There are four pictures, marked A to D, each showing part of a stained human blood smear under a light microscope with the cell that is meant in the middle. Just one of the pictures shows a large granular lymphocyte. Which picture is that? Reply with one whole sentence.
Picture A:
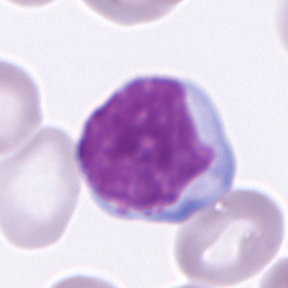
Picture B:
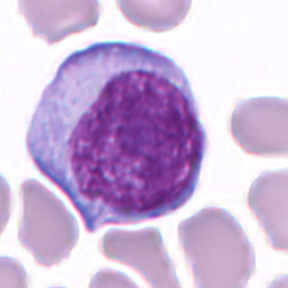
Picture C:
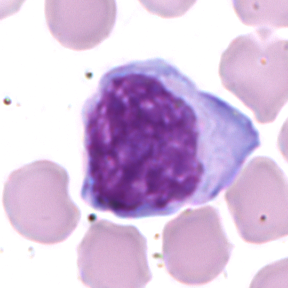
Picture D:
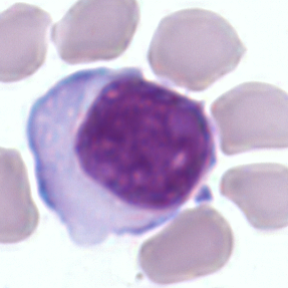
Picture A shows the large granular lymphocyte.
